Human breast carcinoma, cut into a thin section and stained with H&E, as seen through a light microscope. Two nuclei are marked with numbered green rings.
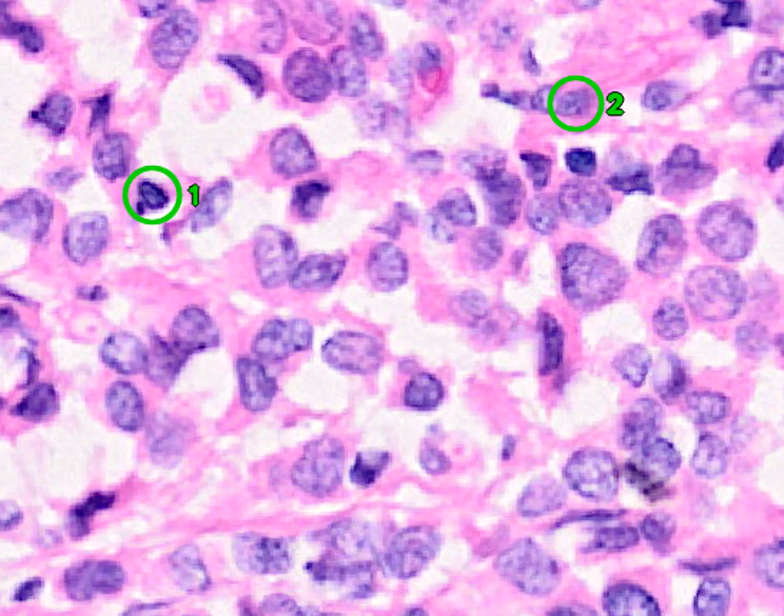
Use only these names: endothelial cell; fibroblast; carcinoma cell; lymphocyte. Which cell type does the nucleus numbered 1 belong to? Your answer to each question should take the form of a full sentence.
Marked with the number 1, this cell is a lymphocyte.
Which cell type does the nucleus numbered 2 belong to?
Denoted by the label 2 in the section is an endothelial cell.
